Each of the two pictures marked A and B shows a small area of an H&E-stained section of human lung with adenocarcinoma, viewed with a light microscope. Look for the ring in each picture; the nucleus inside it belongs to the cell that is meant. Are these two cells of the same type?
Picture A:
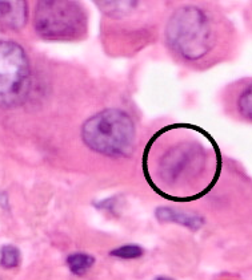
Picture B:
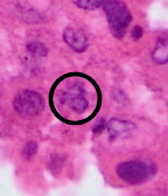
no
